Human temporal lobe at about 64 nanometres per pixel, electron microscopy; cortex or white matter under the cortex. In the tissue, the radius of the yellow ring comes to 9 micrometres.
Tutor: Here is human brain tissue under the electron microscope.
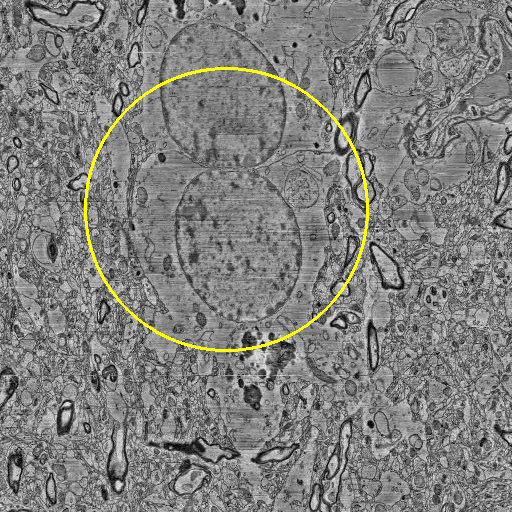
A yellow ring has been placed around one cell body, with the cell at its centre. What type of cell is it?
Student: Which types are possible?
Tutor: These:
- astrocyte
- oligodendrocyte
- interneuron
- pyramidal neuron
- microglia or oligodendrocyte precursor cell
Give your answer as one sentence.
What the ring picks out here is an astrocyte.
